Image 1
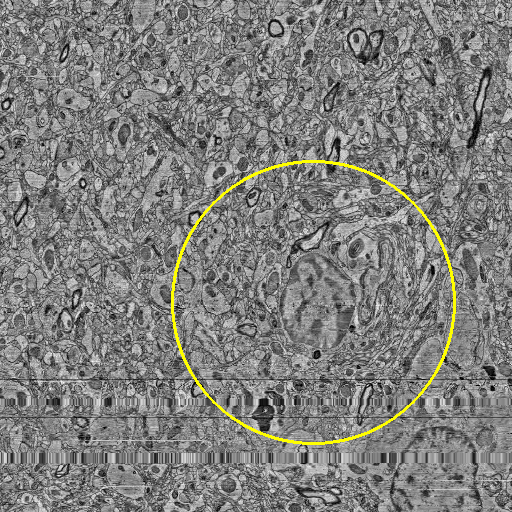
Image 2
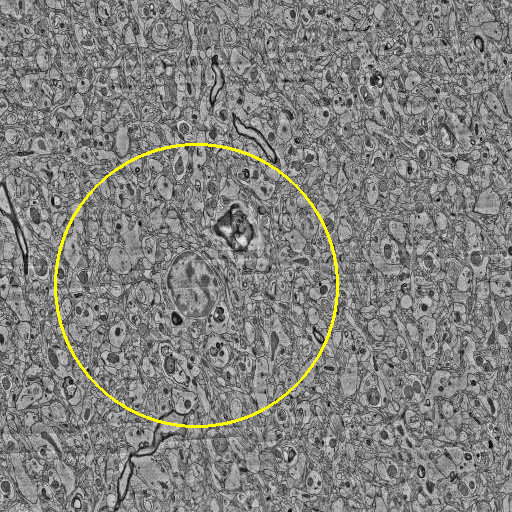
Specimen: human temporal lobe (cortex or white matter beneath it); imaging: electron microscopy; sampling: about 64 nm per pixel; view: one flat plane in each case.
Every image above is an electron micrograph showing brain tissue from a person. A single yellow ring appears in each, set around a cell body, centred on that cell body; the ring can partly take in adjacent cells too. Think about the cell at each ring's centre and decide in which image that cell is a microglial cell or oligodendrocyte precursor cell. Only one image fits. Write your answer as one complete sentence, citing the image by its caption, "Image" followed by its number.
Image 2 is the one whose ringed central cell fits the description.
